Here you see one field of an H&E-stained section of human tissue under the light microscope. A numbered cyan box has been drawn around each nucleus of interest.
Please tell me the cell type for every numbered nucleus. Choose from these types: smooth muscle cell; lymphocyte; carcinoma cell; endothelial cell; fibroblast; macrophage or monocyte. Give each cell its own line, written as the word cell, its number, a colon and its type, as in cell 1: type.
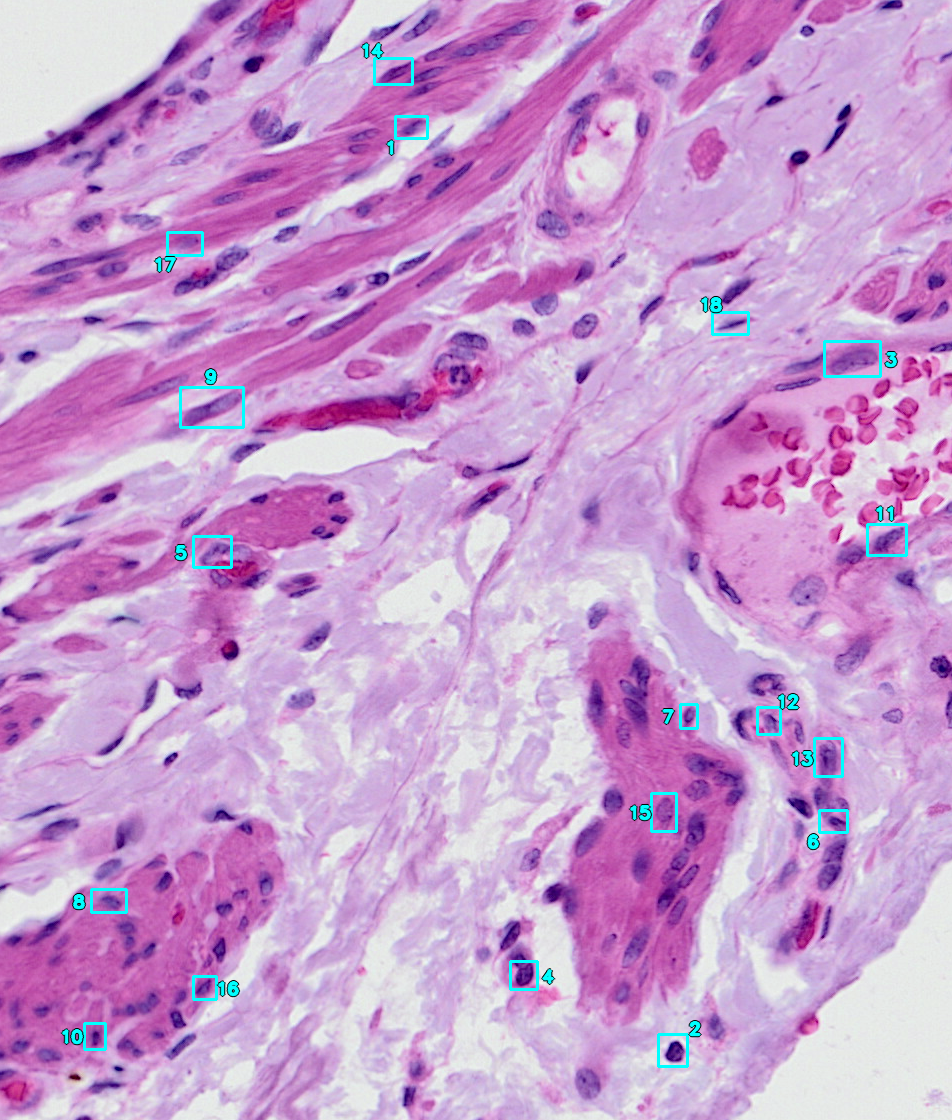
cell 1: smooth muscle cell
cell 2: lymphocyte
cell 3: endothelial cell
cell 4: endothelial cell
cell 5: endothelial cell
cell 6: endothelial cell
cell 7: smooth muscle cell
cell 8: smooth muscle cell
cell 9: smooth muscle cell
cell 10: smooth muscle cell
cell 11: endothelial cell
cell 12: endothelial cell
cell 13: endothelial cell
cell 14: smooth muscle cell
cell 15: smooth muscle cell
cell 16: smooth muscle cell
cell 17: smooth muscle cell
cell 18: fibroblast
